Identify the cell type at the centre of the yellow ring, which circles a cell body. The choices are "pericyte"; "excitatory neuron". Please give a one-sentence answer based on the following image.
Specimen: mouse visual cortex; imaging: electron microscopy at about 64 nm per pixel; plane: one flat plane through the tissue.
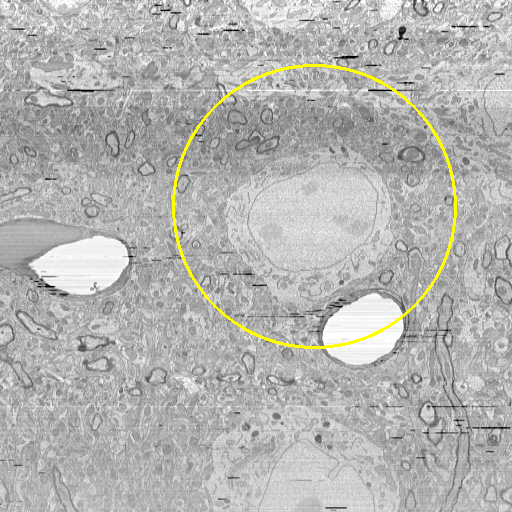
The cell marked by the ring is an excitatory neuron.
